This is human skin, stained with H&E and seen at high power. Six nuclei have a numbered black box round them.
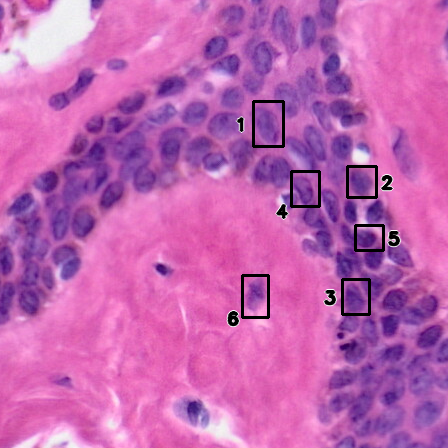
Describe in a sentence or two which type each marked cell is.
Cell 1 is a suprabasal keratinocyte, cell 2 is a basal keratinocyte, cell 3 is a basal keratinocyte, cell 4 is a basal keratinocyte, cell 5 is a basal keratinocyte and cell 6 is a fibroblast.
